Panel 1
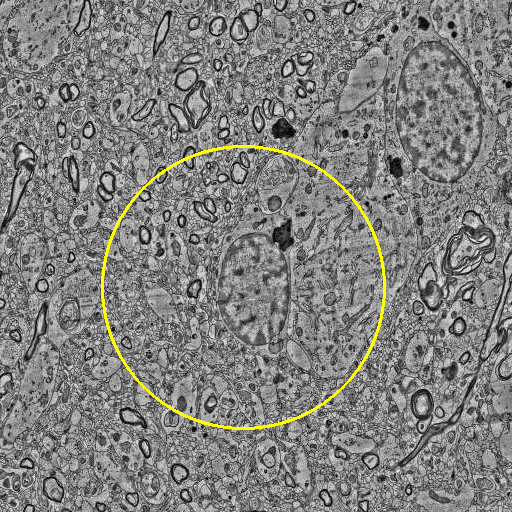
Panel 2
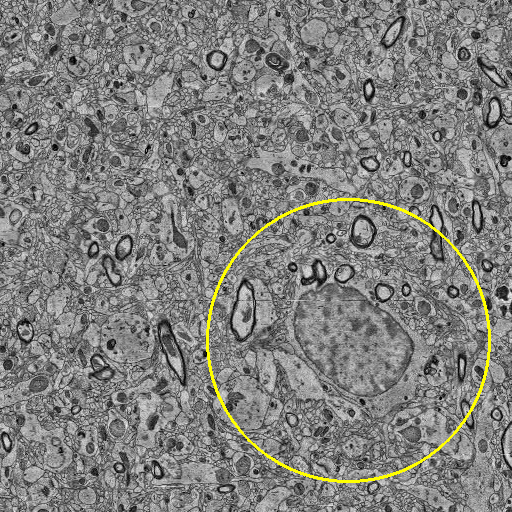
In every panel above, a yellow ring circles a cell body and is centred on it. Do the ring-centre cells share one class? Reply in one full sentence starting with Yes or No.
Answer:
Yes, the two cells at the ring centres in the panels belong to one class.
